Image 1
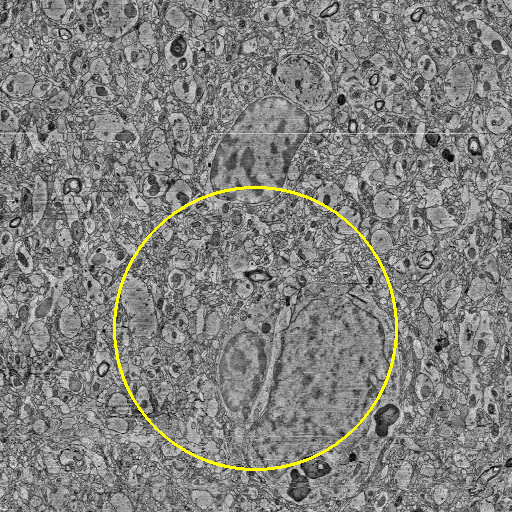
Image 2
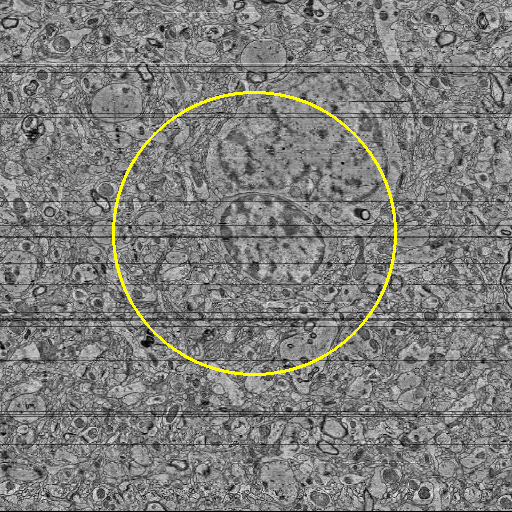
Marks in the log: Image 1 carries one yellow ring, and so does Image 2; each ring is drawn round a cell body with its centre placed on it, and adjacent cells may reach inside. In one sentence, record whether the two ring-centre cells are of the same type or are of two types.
The two cells at the ring centres, one in each image, are of the same type.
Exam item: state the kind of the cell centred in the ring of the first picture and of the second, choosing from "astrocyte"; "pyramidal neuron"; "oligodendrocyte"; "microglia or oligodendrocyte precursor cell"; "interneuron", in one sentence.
In each picture the ringed cell is an oligodendrocyte.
